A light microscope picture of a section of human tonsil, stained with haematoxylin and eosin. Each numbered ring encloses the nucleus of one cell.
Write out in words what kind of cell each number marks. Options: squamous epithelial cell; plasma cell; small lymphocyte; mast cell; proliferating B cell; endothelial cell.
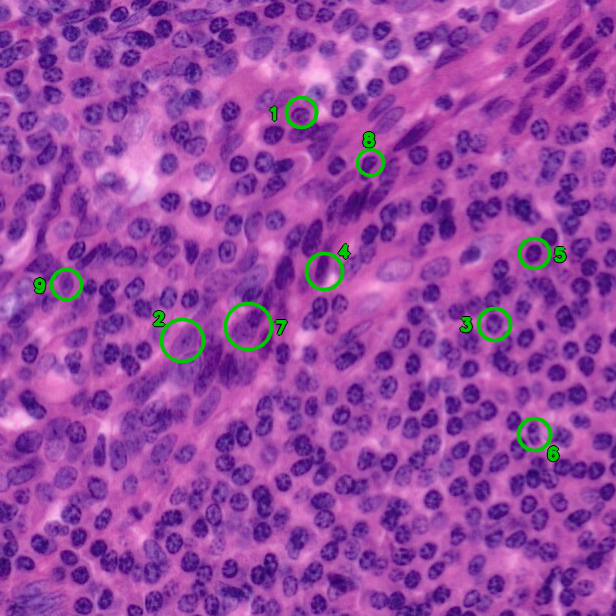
Cell 1 is a plasma cell, cell 2 is a squamous epithelial cell, cell 3 is a plasma cell, cell 4 is a squamous epithelial cell, cell 5 is a plasma cell, cell 6 is a plasma cell, cell 7 is a squamous epithelial cell, cell 8 is a squamous epithelial cell and cell 9 is a squamous epithelial cell.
